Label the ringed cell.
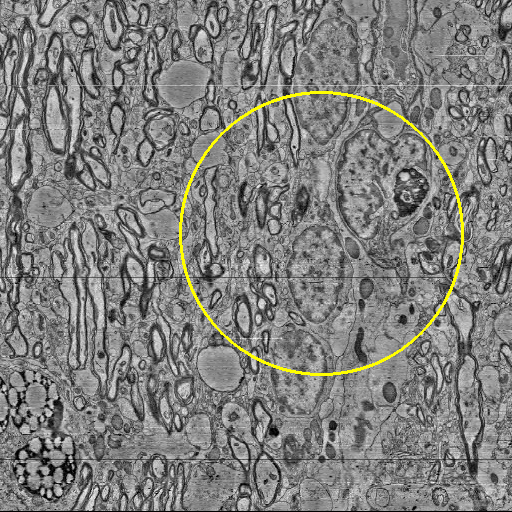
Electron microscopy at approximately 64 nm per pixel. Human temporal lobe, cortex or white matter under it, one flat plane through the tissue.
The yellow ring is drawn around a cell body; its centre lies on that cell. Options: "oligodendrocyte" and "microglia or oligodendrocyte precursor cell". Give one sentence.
The ringed cell is an oligodendrocyte.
